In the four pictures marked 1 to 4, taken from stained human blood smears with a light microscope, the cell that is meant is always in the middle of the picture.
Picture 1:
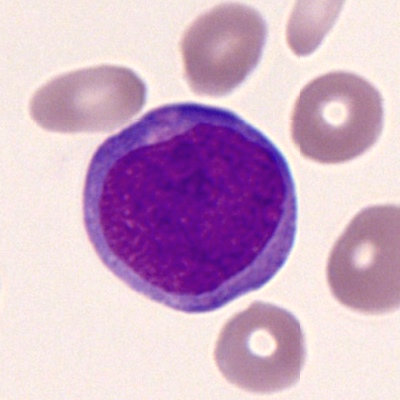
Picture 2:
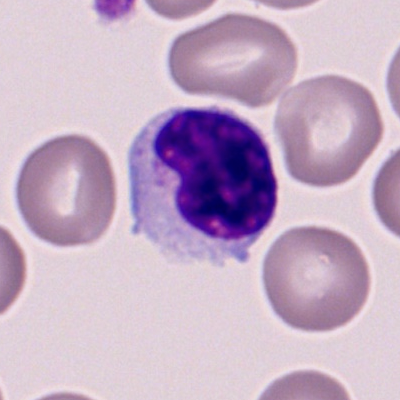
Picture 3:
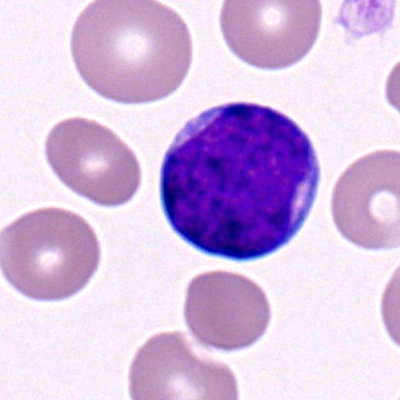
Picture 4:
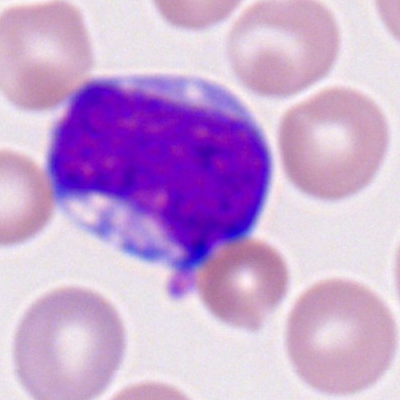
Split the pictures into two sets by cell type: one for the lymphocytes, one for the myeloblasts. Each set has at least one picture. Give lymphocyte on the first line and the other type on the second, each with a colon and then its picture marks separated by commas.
lymphocyte: 2
myeloblast: 1, 3, 4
